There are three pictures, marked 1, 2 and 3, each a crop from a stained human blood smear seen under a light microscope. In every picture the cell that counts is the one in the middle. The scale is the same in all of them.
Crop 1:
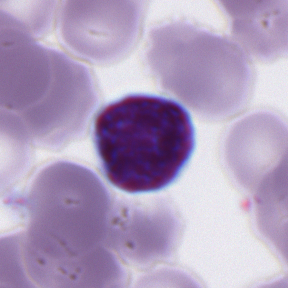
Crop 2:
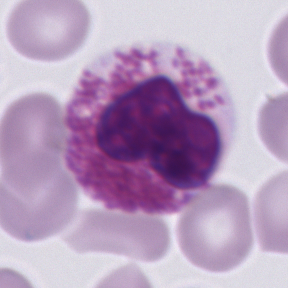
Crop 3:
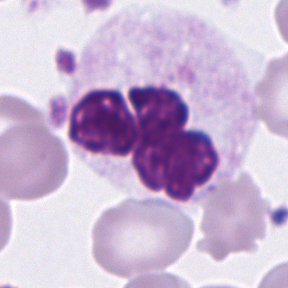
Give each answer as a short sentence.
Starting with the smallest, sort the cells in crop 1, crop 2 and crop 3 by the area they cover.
From the smallest up, the order is 1, 2, 3.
